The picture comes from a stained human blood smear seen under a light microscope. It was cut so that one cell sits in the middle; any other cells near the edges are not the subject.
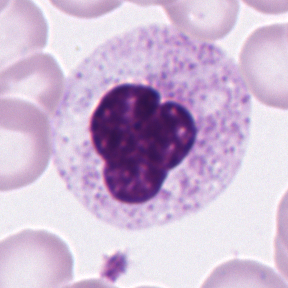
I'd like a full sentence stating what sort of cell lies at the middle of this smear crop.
The center cell of this crop is a segmented neutrophil.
